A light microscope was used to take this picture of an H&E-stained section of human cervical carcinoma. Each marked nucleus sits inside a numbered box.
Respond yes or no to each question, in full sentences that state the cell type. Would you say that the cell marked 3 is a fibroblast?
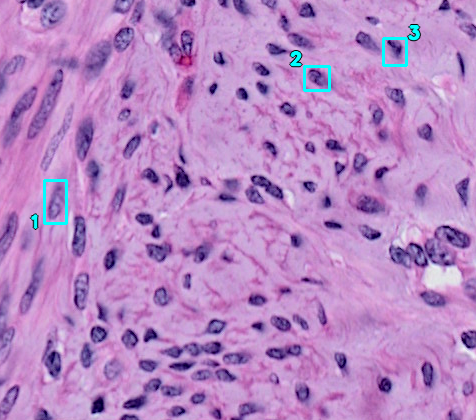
Yes, number 3 in this section denotes a fibroblast.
